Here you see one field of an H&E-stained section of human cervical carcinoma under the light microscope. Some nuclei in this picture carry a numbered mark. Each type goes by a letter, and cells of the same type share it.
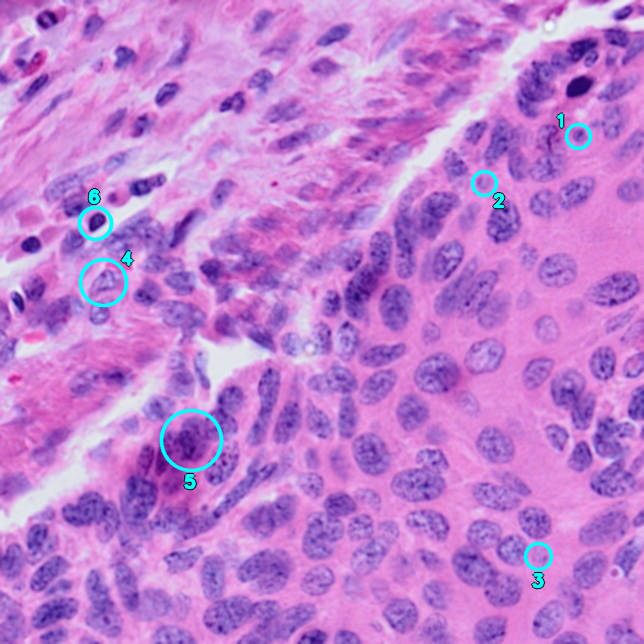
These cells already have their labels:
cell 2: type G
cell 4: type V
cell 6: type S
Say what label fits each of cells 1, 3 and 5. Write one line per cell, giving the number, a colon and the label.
1: type G
3: type G
5: type G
